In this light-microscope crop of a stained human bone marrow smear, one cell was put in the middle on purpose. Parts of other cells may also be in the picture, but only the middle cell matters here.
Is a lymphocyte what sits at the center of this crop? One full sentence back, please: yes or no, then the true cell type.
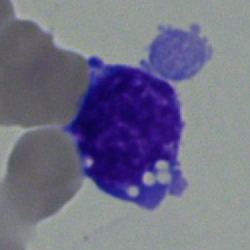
No, the central cell is a blast, not a lymphocyte.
